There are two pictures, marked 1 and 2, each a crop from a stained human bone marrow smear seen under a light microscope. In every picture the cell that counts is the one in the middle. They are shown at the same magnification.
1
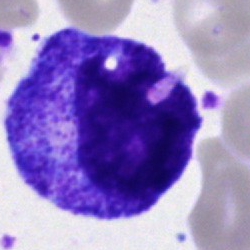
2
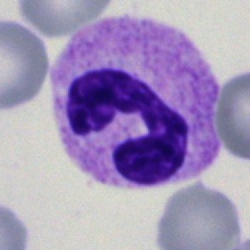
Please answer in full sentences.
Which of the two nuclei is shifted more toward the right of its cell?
The nucleus in crop 1 lies further toward the right of its cell.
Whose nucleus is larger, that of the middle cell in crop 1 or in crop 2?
It is the nucleus in crop 1, about 2 times as large in area as the one in crop 2.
